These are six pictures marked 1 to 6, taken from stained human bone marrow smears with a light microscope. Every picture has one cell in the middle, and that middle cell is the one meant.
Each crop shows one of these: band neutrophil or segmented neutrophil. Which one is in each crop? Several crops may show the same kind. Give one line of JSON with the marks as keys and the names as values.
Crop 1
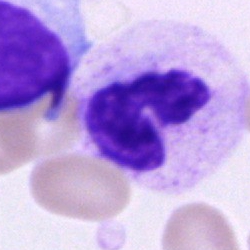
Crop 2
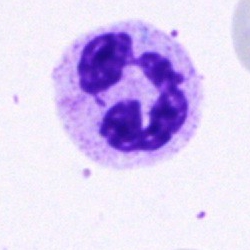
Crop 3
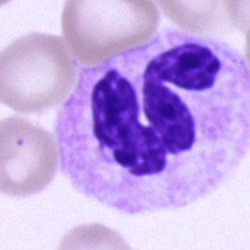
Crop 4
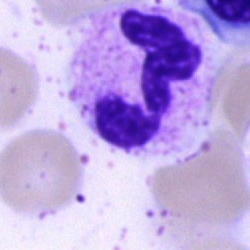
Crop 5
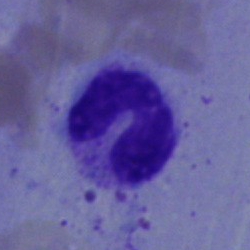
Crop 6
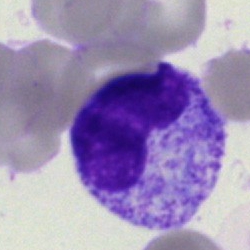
{"1": "segmented neutrophil", "2": "segmented neutrophil", "3": "segmented neutrophil", "4": "segmented neutrophil", "5": "band neutrophil", "6": "band neutrophil"}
